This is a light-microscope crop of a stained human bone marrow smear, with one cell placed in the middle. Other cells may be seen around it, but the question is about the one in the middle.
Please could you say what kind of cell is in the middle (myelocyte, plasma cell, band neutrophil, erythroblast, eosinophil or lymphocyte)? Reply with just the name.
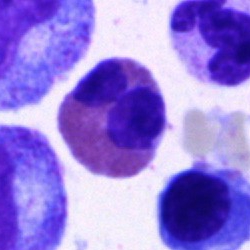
eosinophil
